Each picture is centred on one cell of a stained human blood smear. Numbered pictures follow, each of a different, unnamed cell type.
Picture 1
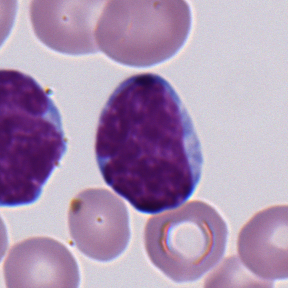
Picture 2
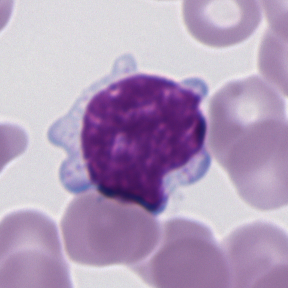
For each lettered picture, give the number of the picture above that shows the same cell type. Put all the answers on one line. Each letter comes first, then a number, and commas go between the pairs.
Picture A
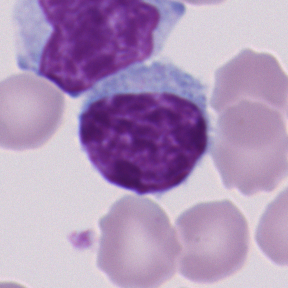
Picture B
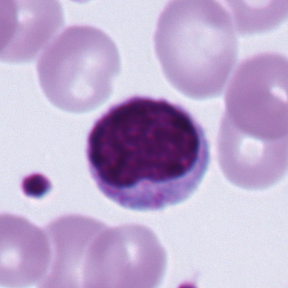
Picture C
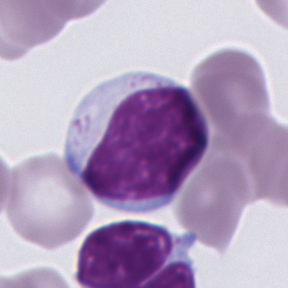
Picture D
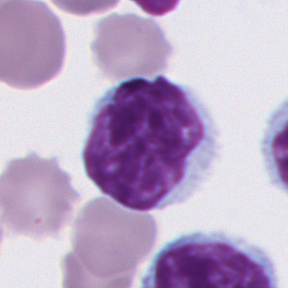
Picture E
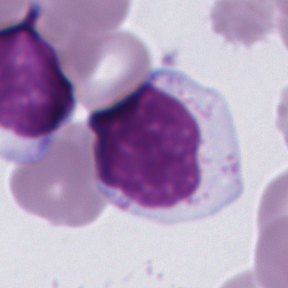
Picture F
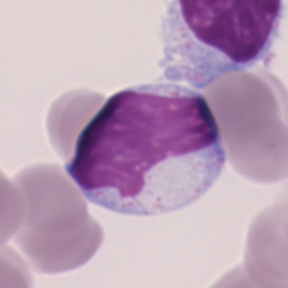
A 1, B 2, C 2, D 1, E 2, F 2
